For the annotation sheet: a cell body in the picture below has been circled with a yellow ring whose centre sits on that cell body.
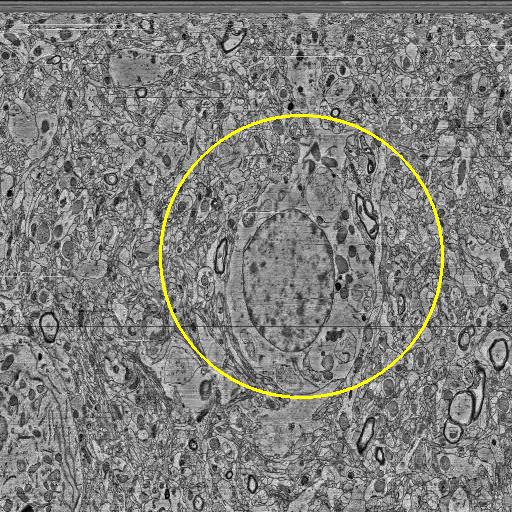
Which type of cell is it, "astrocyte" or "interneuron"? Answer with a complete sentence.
The circled cell is an astrocyte.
